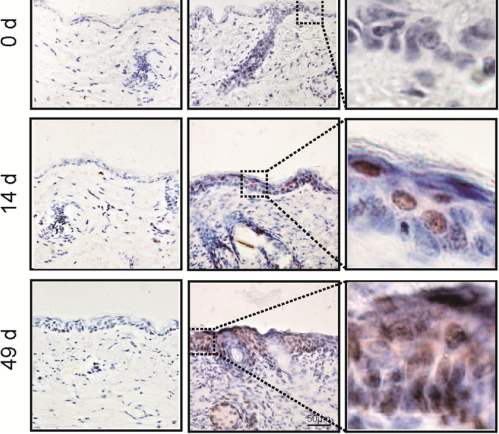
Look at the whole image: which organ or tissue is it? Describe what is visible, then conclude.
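Skin. A thin stratified surface epithelium overlies loose connective tissue. A hair follicle-like structure is cut in the connective tissue.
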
